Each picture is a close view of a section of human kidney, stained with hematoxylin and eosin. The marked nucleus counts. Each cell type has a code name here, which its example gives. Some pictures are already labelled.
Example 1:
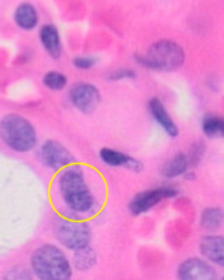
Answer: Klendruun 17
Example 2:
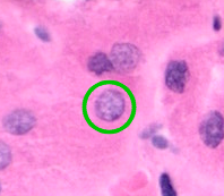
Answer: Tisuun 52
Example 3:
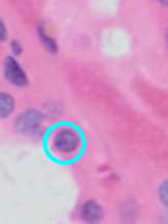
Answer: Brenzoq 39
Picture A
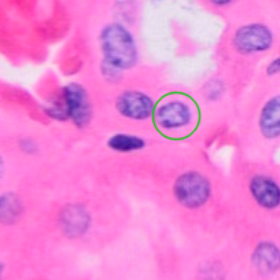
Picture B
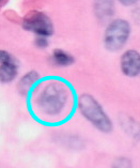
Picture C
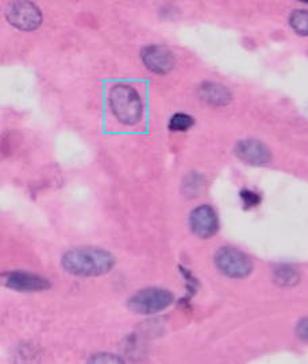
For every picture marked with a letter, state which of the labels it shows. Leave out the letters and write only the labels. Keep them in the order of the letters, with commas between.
Klendruun 17, Klendruun 17, Tisuun 52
